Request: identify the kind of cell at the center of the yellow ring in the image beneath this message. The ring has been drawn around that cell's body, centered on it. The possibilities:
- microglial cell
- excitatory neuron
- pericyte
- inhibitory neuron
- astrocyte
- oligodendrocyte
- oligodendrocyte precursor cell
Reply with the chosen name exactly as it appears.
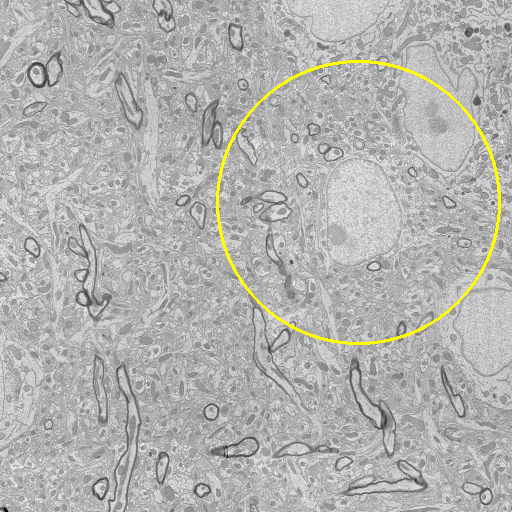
astrocyte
